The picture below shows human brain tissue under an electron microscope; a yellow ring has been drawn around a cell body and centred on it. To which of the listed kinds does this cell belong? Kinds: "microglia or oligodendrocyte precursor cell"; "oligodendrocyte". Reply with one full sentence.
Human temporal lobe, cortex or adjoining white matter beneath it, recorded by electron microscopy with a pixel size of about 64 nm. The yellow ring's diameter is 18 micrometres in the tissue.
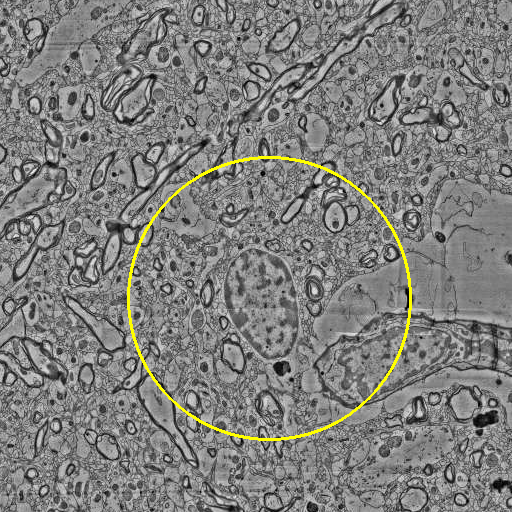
It is a microglial cell or oligodendrocyte precursor cell that the yellow ring in the picture is centred on.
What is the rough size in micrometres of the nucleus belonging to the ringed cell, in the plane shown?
About 7 by 4 micrometres, the nucleus being clearly longer than it is wide in this plane.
